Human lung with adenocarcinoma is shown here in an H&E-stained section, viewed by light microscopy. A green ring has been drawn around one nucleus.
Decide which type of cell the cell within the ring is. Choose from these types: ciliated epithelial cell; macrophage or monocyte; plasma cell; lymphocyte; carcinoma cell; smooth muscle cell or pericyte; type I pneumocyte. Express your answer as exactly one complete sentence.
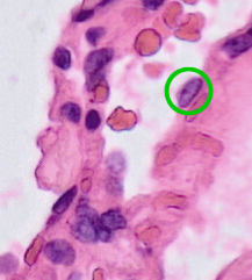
By cell type, the cell within the ring is a type I pneumocyte.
